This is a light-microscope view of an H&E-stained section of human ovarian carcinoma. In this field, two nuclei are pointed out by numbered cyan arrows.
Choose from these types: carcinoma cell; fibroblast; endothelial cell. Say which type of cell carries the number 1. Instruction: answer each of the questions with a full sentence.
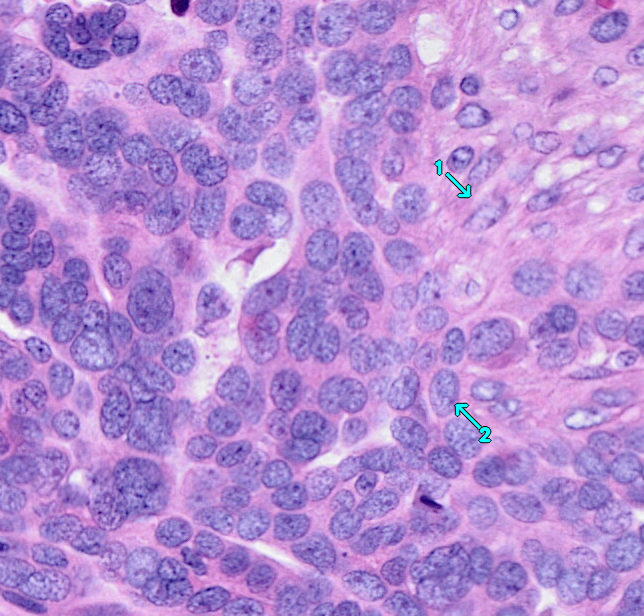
The cell given label 1 is a fibroblast.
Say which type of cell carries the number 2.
Within this field of view, the cell labelled 2 is a carcinoma cell.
